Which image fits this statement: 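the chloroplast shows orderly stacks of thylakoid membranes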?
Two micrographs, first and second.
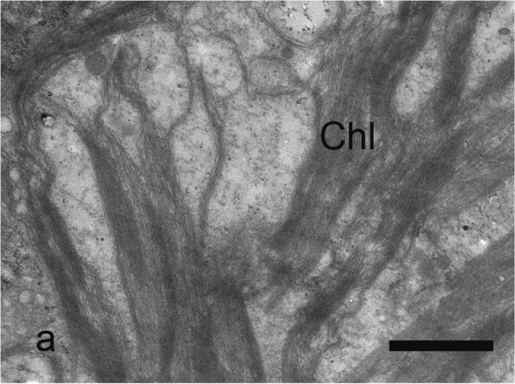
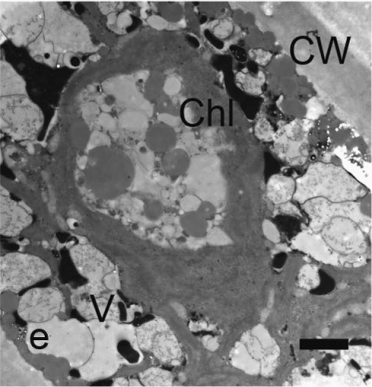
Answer: the first image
